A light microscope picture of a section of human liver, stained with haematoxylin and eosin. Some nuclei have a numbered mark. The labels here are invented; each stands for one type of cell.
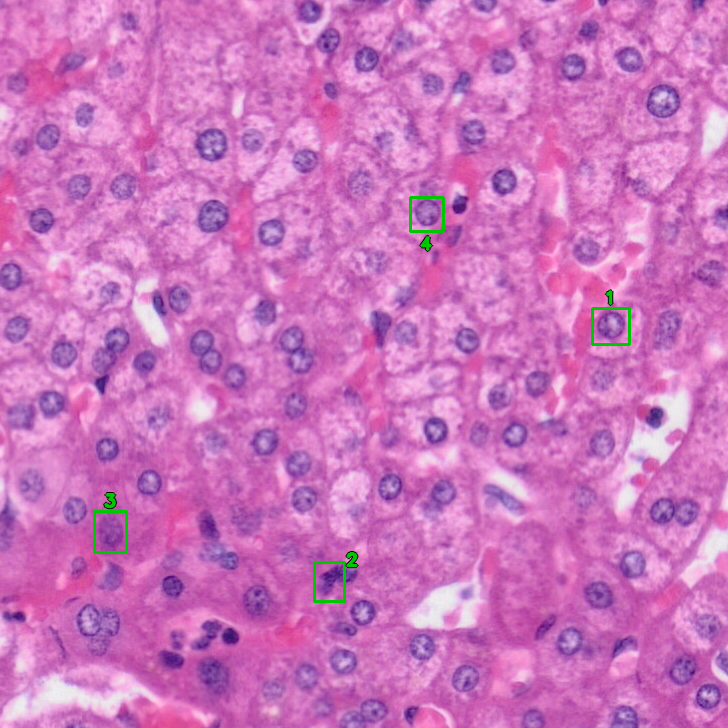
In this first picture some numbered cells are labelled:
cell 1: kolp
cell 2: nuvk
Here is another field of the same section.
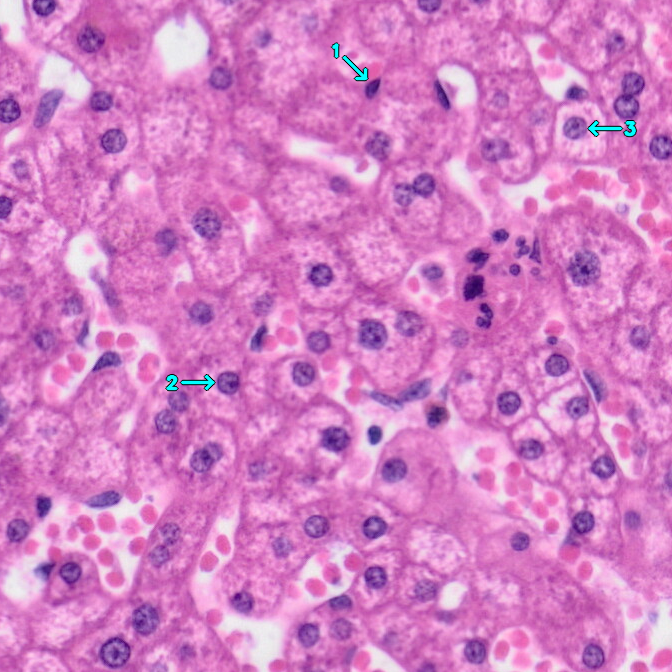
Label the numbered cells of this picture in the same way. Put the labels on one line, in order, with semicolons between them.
nuvk; kolp; kolp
